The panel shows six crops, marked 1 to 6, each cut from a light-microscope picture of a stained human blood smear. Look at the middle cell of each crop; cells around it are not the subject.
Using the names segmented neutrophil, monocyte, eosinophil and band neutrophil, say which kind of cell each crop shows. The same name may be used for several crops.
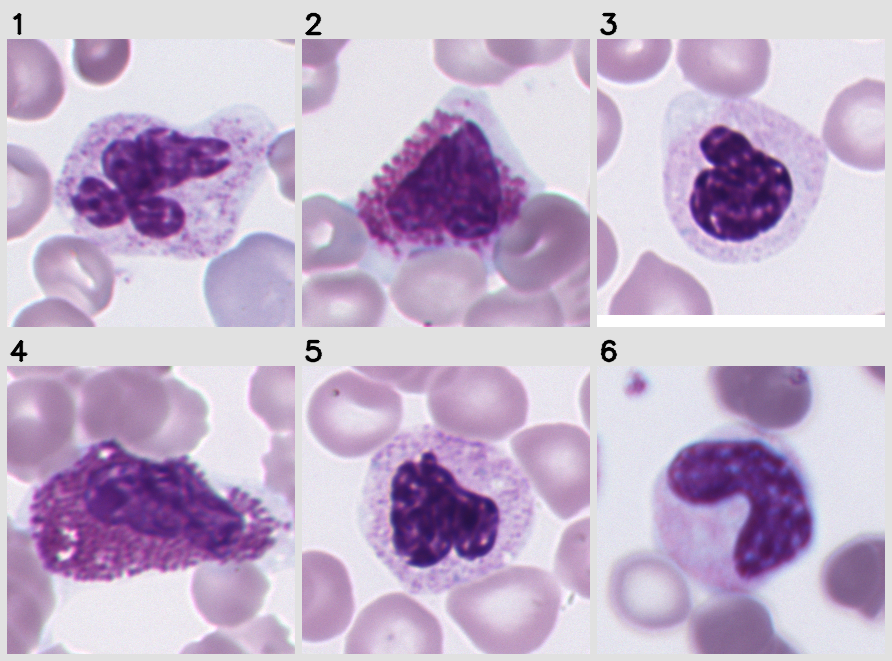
1: segmented neutrophil
2: eosinophil
3: segmented neutrophil
4: eosinophil
5: segmented neutrophil
6: band neutrophil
